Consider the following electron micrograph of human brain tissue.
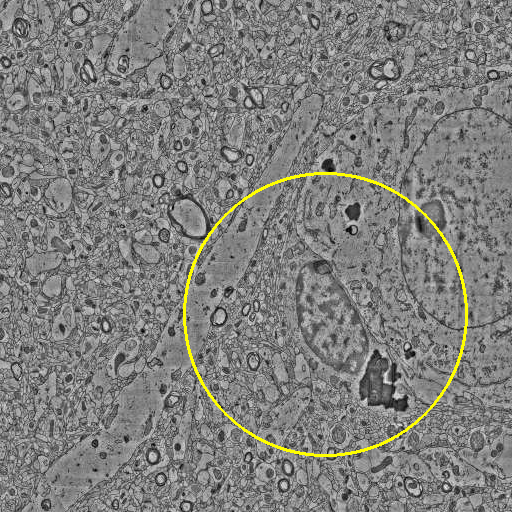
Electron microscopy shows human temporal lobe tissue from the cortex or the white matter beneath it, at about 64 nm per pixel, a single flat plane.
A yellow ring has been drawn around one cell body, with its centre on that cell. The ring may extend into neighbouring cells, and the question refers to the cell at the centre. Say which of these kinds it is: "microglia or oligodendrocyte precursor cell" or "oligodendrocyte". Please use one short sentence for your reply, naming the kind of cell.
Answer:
The centre of the ring falls on an oligodendrocyte.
